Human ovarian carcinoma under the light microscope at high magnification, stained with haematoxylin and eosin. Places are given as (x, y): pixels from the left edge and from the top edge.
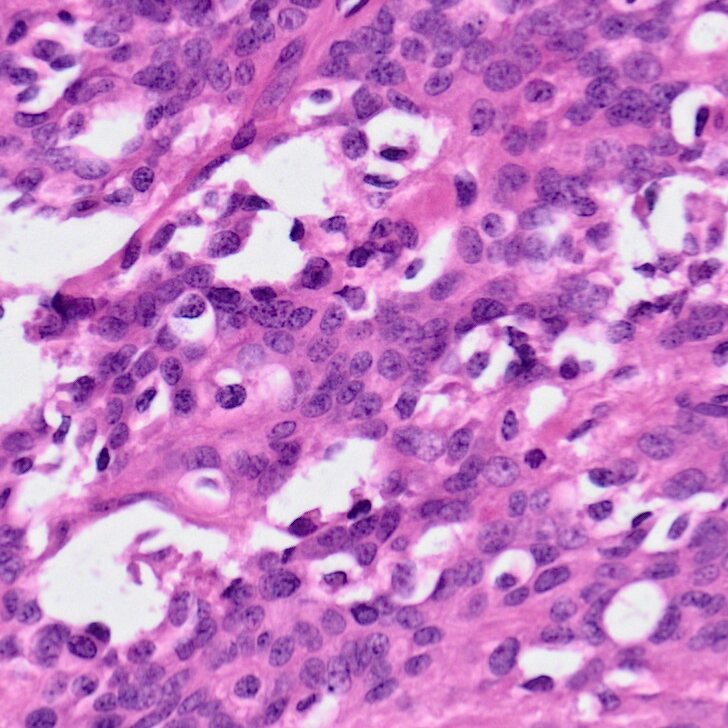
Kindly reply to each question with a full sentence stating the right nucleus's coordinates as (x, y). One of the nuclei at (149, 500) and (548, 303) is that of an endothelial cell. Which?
Of these two nuclei, only the one at (149, 500) belongs to an endothelial cell.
